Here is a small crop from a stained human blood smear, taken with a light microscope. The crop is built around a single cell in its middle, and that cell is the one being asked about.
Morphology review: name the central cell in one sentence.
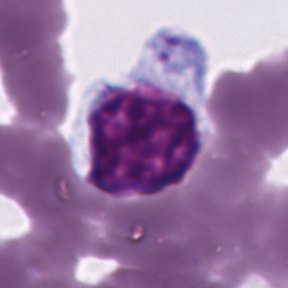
The cell at the middle of the frame should be recorded as a hairy cell.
